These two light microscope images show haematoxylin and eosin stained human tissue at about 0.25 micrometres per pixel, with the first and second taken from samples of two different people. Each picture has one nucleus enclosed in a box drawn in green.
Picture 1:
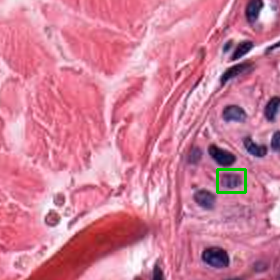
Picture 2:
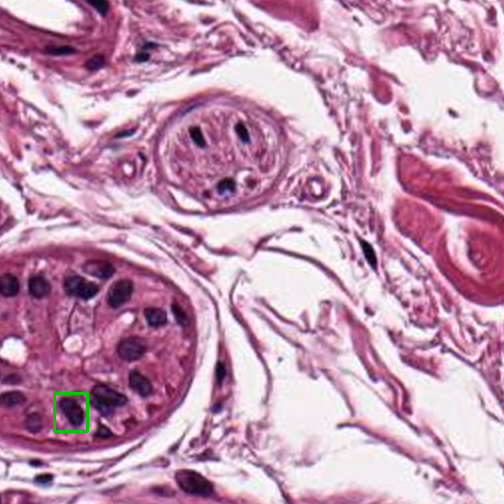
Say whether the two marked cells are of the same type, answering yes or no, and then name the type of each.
Yes, both are sweat gland cells.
